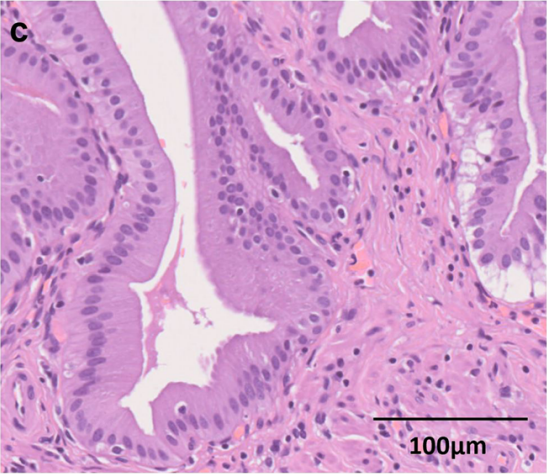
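This is gallbladder mucosa lined by a single layer of tall columnar epithelial cells thrown into folds around narrow lumens. The nuclei are oval, basally placed and fairly uniform, with pink cytoplasm above them. Beneath the epithelium lies a loose fibrous stroma with scattered spindle-shaped cells and small vessels containing red blood cells.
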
